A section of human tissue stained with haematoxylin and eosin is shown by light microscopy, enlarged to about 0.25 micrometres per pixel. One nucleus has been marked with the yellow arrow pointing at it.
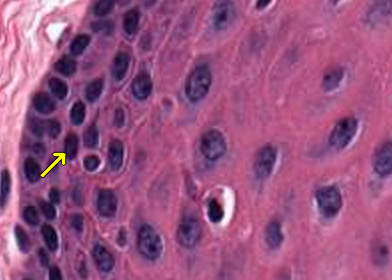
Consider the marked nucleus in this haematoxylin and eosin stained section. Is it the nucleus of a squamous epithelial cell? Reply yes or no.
yes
